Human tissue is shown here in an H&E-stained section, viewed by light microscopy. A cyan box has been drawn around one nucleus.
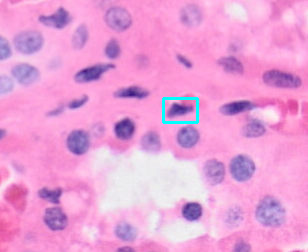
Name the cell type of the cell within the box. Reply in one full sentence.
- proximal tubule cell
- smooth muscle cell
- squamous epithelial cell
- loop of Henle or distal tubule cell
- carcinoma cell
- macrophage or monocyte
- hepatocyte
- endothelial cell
Cell type answer for this item: the cell within the box is an endothelial cell.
